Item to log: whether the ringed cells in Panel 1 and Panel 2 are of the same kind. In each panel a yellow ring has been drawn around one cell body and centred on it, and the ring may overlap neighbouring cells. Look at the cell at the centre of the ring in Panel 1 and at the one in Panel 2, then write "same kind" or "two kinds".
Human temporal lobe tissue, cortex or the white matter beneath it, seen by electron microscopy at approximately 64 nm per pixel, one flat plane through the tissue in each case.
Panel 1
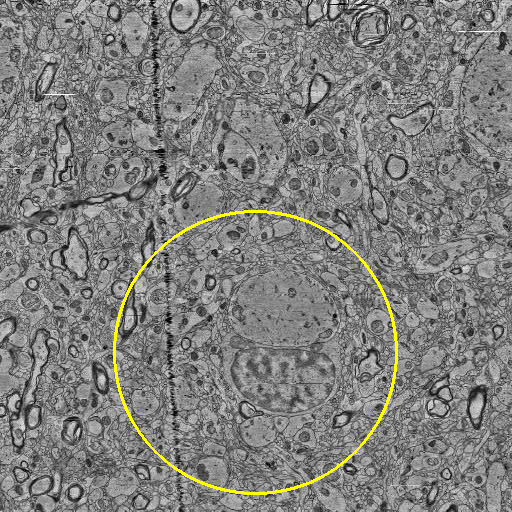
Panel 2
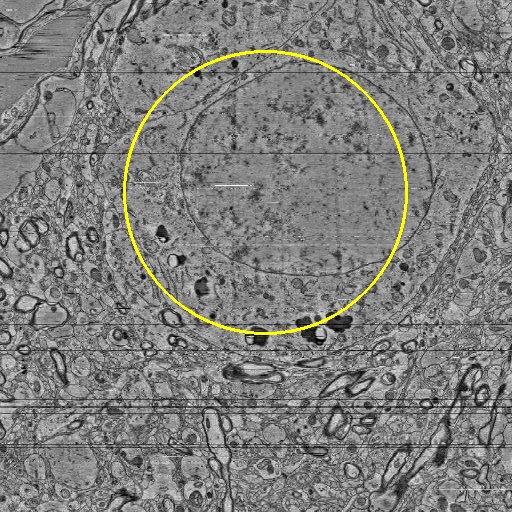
two kinds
